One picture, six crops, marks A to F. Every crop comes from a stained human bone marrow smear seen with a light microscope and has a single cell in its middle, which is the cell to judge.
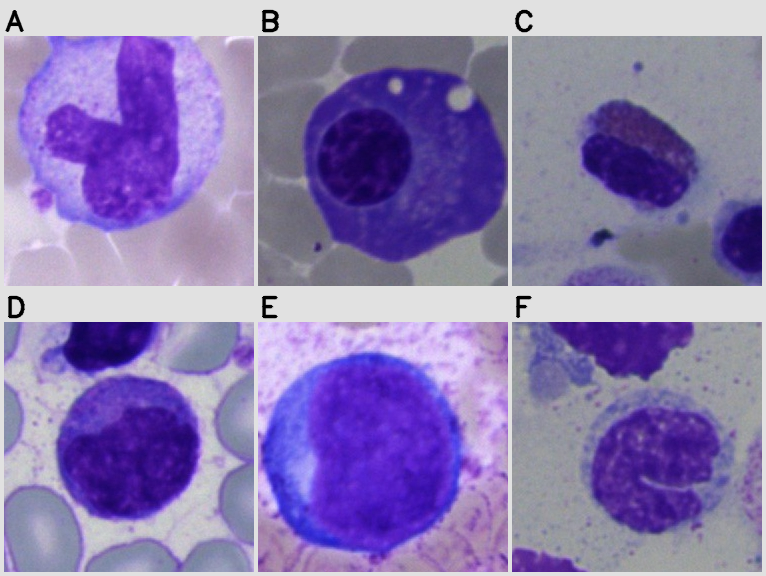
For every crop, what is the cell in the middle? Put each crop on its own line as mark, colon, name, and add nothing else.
A: monocyte
B: plasma cell
C: eosinophil
D: monocyte
E: blast
F: monocyte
